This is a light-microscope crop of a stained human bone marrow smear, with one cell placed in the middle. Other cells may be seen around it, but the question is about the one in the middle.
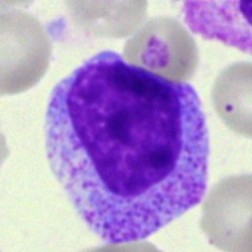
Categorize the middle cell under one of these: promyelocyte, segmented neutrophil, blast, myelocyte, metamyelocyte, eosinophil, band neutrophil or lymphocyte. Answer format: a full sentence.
In the middle of this smear crop is a myelocyte.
